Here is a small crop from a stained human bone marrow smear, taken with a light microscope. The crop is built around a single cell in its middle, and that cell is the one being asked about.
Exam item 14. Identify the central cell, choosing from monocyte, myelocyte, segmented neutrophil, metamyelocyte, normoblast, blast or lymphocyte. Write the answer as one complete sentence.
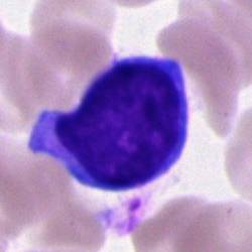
The cell of interest, in the center, is a blast.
